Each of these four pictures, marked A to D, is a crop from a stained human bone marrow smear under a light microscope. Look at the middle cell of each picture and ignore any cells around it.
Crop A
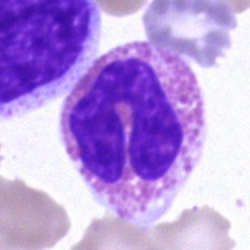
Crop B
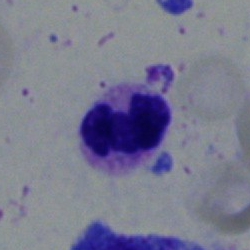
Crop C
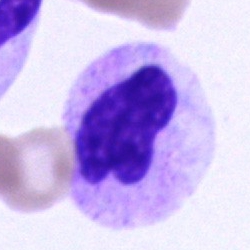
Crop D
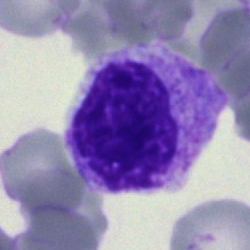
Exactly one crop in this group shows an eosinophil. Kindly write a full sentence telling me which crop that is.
It is crop A, not any other, that shows an eosinophil.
